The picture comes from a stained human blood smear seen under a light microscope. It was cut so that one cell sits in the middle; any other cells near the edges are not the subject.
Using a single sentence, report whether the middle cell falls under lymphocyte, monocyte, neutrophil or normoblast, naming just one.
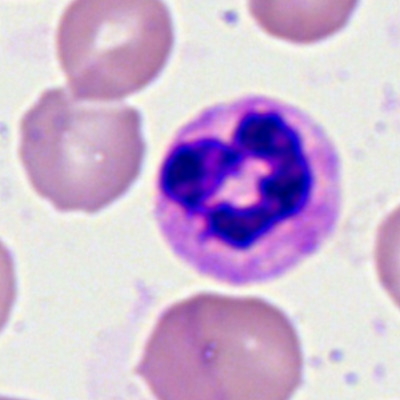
Whatever else lies nearby, the middle cell is a neutrophil.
